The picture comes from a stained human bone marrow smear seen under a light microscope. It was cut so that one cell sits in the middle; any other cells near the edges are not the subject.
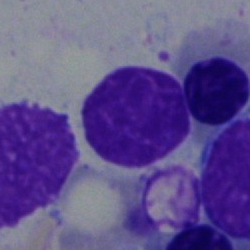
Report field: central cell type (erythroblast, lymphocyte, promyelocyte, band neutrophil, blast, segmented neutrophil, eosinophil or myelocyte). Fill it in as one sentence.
The centrally located cell in the crop is a lymphocyte.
